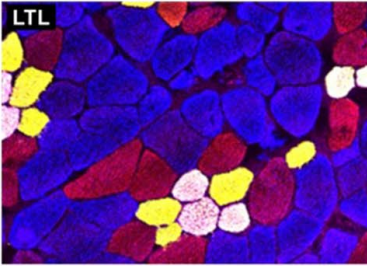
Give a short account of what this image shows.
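A cross-section of skeletal muscle shows closely packed polygonal muscle fibers separated by thin dark spaces, forming a mosaic of colours. Most fibers are large and blue or deep red to purple, while smaller pink, pale and yellow fibers gather in small clusters among them.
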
